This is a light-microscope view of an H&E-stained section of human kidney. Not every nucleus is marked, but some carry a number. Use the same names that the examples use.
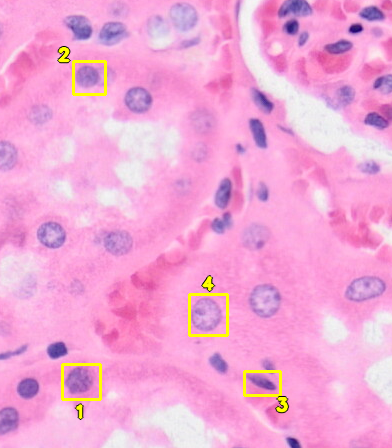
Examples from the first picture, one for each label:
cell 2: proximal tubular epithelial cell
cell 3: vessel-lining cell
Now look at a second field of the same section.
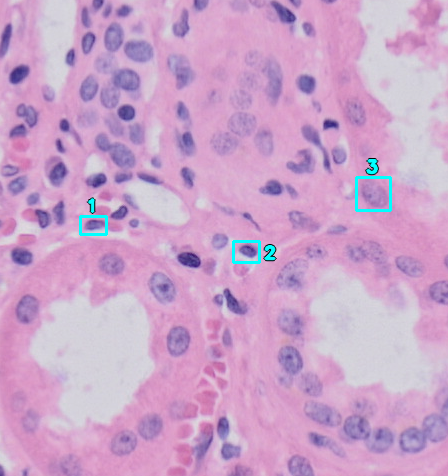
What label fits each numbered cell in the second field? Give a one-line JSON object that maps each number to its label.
{"1": "vessel-lining cell", "2": "vessel-lining cell", "3": "proximal tubular epithelial cell"}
